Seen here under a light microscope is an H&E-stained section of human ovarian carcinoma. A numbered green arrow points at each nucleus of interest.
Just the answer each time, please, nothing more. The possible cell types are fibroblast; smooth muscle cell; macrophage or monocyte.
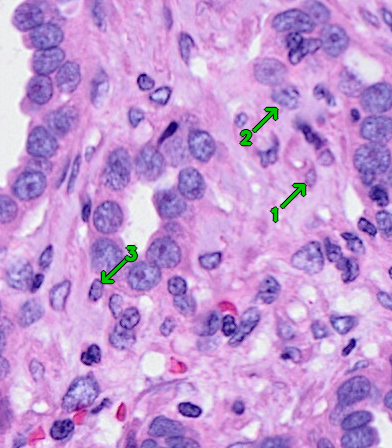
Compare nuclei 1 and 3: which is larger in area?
3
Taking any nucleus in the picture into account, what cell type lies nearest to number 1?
fibroblast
